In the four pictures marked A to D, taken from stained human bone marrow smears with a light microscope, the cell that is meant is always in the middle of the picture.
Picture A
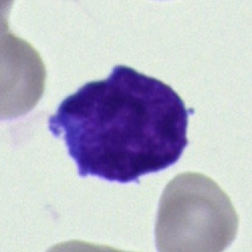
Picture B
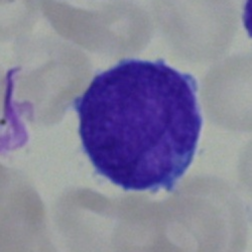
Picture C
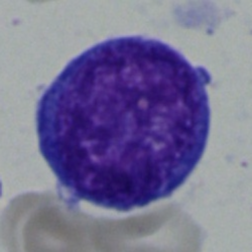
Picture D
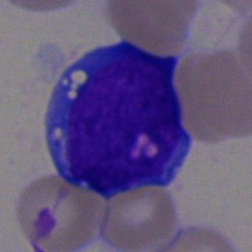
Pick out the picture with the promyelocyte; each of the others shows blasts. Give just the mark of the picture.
C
